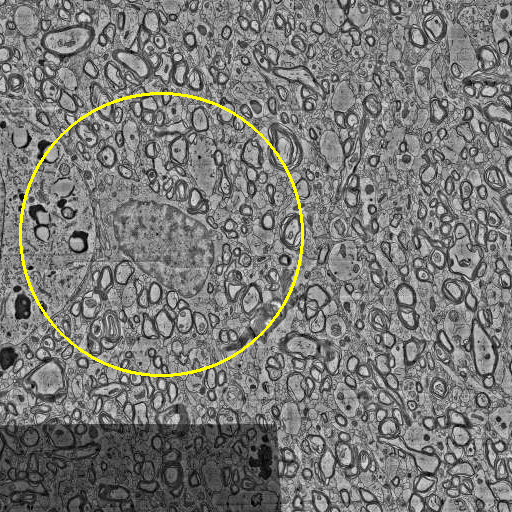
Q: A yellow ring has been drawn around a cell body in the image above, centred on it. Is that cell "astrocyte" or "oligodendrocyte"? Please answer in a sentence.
The ring surrounds the cell body of an oligodendrocyte.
